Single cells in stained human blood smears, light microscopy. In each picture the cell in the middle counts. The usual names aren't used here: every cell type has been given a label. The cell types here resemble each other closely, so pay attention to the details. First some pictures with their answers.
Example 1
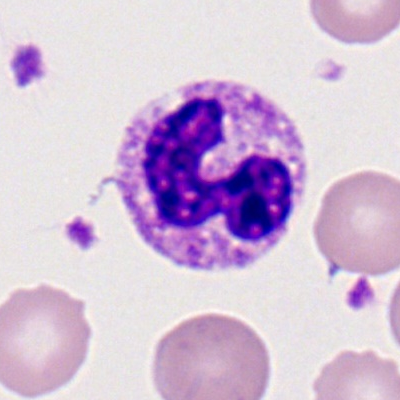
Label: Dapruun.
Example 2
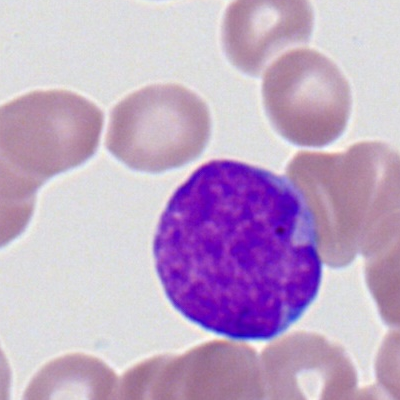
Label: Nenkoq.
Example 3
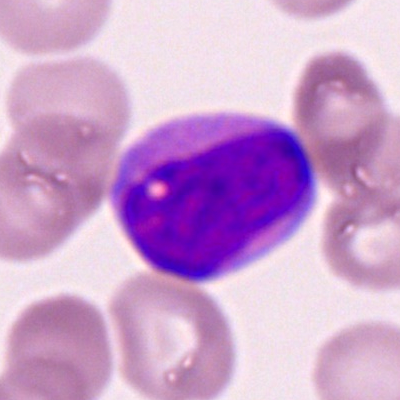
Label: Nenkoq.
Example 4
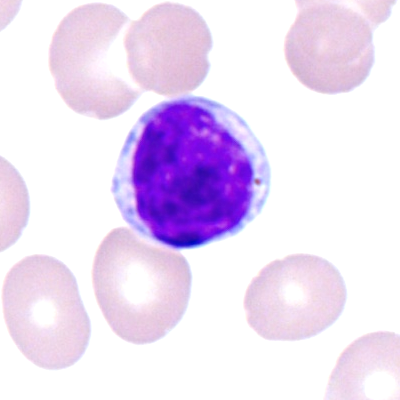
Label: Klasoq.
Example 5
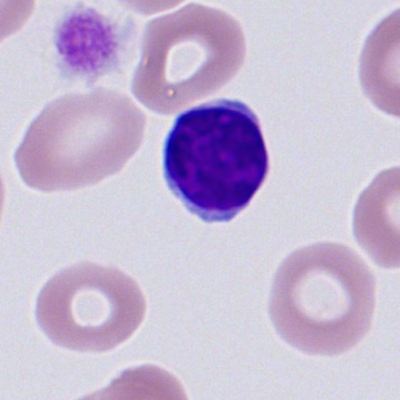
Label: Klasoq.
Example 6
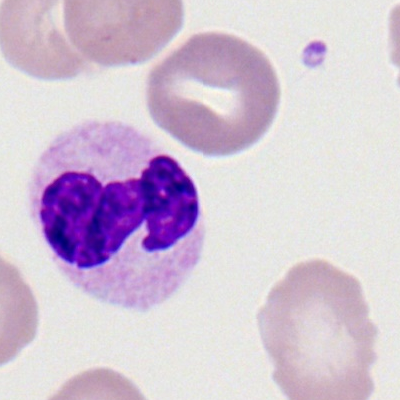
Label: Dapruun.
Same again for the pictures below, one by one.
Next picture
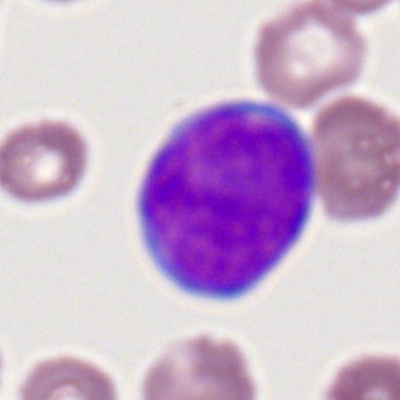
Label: Nenkoq.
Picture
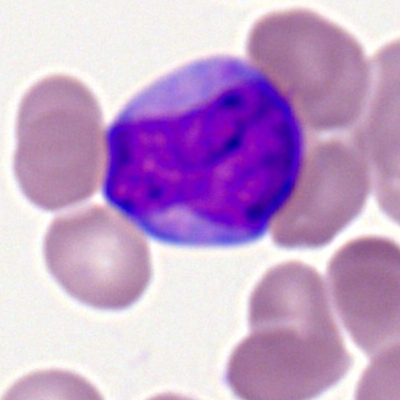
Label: Nenkoq.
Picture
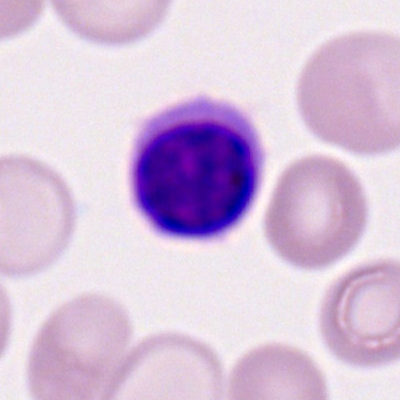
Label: Klasoq.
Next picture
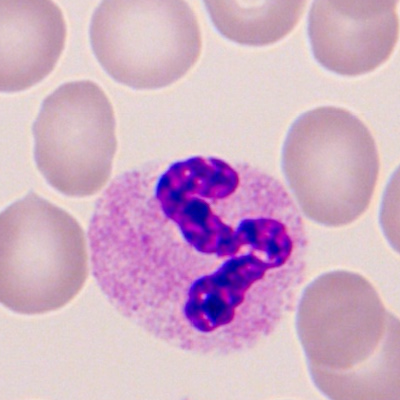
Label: Dapruun.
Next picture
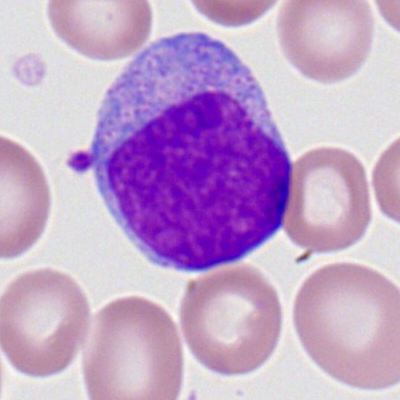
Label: Nenkoq.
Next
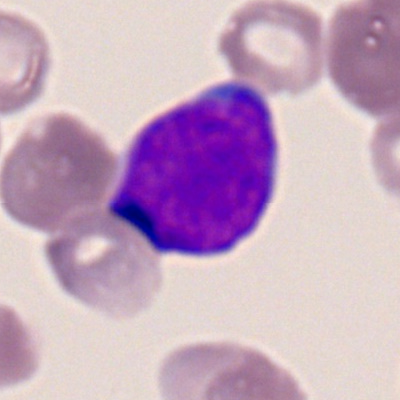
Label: Nenkoq.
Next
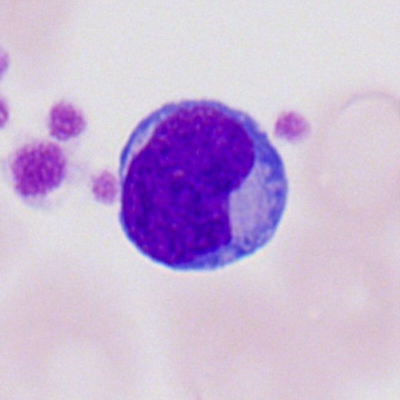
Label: Klasoq.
